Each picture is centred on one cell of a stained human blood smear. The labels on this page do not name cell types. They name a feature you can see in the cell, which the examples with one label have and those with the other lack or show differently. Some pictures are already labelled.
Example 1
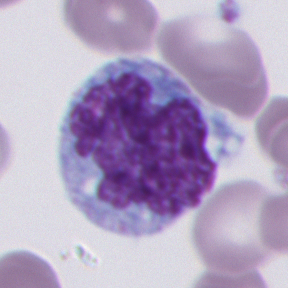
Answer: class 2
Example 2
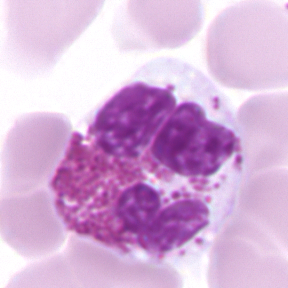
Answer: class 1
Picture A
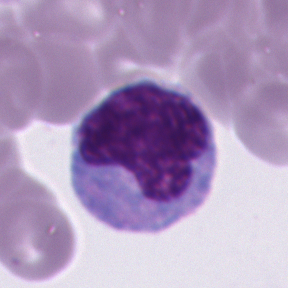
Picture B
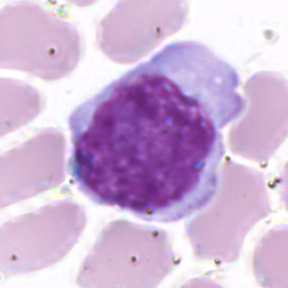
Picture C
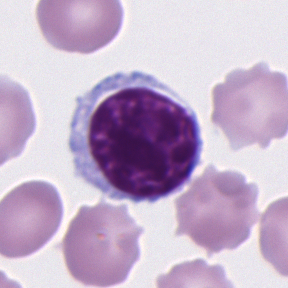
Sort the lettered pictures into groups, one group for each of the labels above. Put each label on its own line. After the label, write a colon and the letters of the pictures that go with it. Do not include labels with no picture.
class 2: B, C
class 1: A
